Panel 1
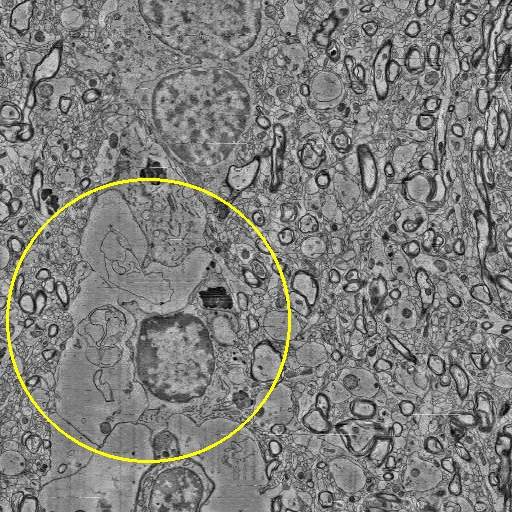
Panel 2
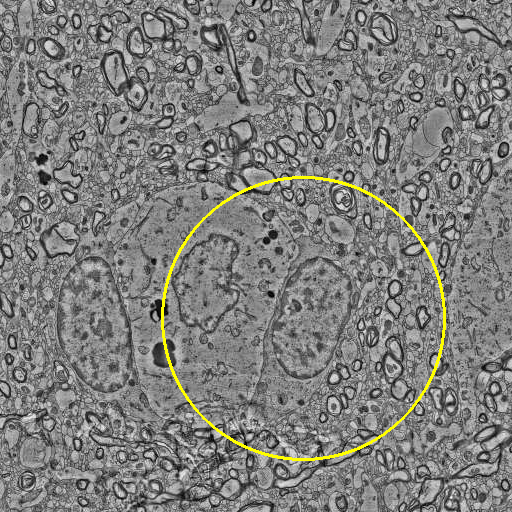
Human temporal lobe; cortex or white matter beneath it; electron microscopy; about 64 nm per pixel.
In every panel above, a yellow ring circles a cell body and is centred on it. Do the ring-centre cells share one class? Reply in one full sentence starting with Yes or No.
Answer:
No, the two cells at the ring centres in the panels belong to two classes.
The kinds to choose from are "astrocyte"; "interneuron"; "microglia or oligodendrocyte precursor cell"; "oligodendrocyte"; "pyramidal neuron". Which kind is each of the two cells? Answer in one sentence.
Of the two, the first cell is a microglial cell or oligodendrocyte precursor cell and the second cell is an oligodendrocyte.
